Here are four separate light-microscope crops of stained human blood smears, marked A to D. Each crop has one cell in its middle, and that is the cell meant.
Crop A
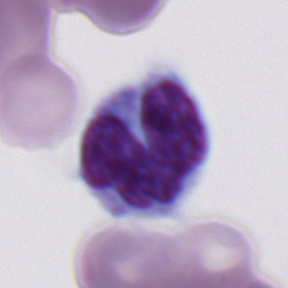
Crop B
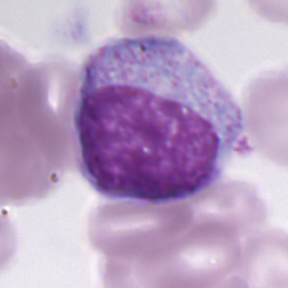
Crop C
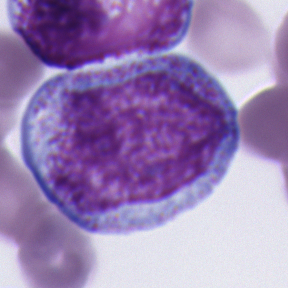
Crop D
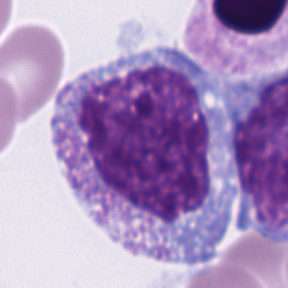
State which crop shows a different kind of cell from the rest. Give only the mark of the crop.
A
